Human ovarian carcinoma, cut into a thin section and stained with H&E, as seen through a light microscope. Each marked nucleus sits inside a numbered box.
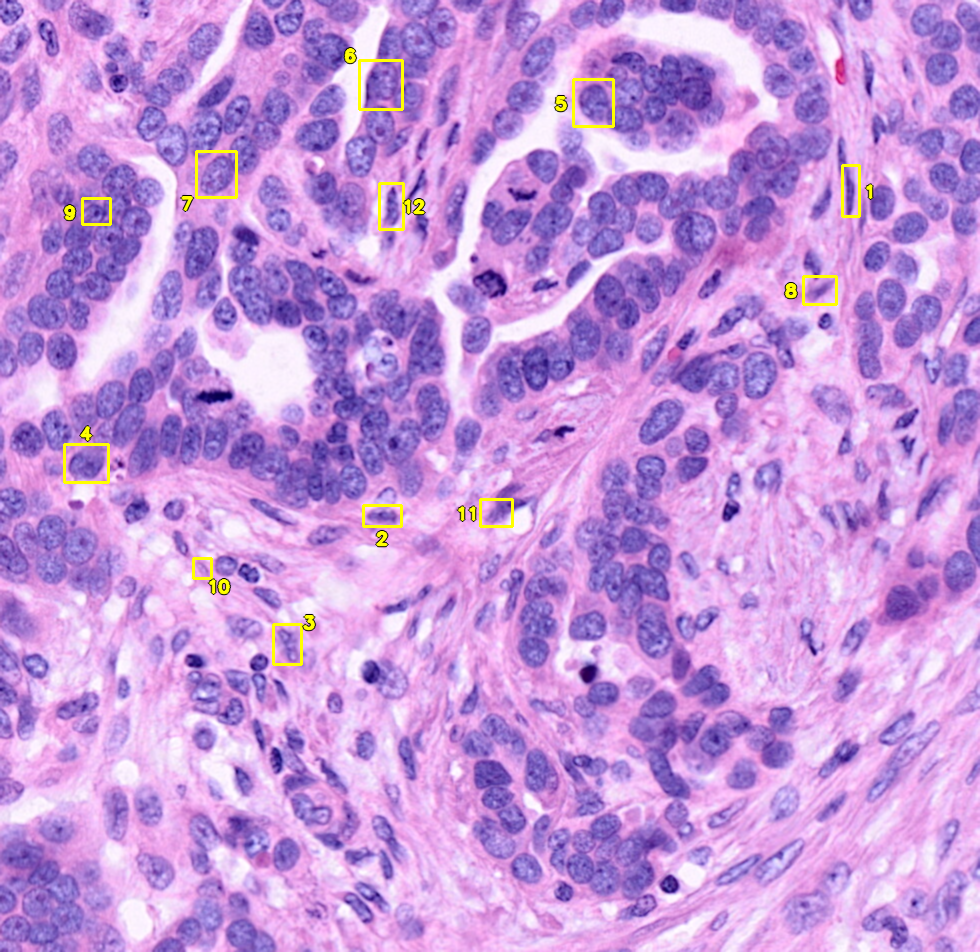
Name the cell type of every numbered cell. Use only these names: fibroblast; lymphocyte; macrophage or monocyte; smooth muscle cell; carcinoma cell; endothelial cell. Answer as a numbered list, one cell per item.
1. fibroblast
2. fibroblast
3. fibroblast
4. carcinoma cell
5. carcinoma cell
6. carcinoma cell
7. carcinoma cell
8. fibroblast
9. carcinoma cell
10. fibroblast
11. fibroblast
12. fibroblast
